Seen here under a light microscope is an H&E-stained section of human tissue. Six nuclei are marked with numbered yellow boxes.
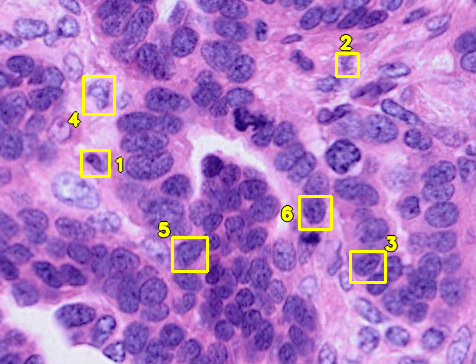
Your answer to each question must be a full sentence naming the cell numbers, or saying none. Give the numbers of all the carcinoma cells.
In this section, the cells numbered 3, 5 and 6 are carcinoma cells.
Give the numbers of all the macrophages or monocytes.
The one cell that is a macrophage or monocyte is cell 1, and no other.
